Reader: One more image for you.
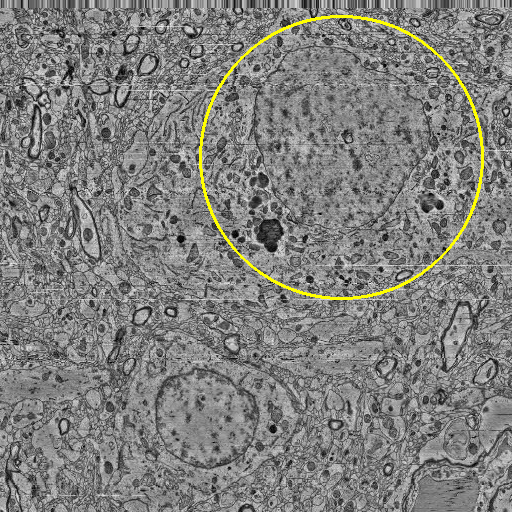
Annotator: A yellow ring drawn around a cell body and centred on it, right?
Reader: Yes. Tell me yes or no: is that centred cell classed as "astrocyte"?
no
